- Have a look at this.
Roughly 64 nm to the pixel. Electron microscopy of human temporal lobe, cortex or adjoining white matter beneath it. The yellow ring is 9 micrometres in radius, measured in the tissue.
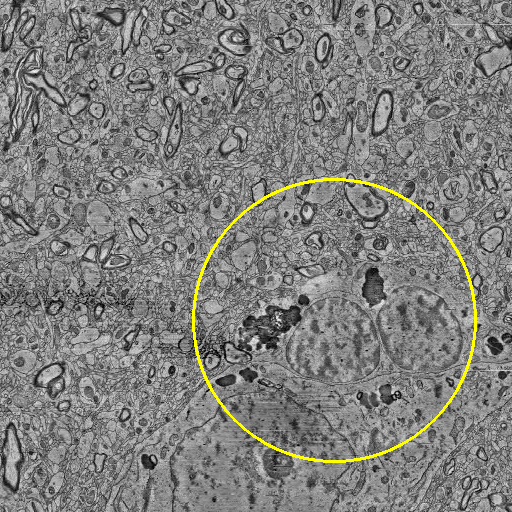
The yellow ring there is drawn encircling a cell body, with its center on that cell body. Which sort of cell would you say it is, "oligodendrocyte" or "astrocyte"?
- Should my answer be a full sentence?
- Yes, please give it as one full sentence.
For this picture, an oligodendrocyte is the cell where the yellow ring has its center.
